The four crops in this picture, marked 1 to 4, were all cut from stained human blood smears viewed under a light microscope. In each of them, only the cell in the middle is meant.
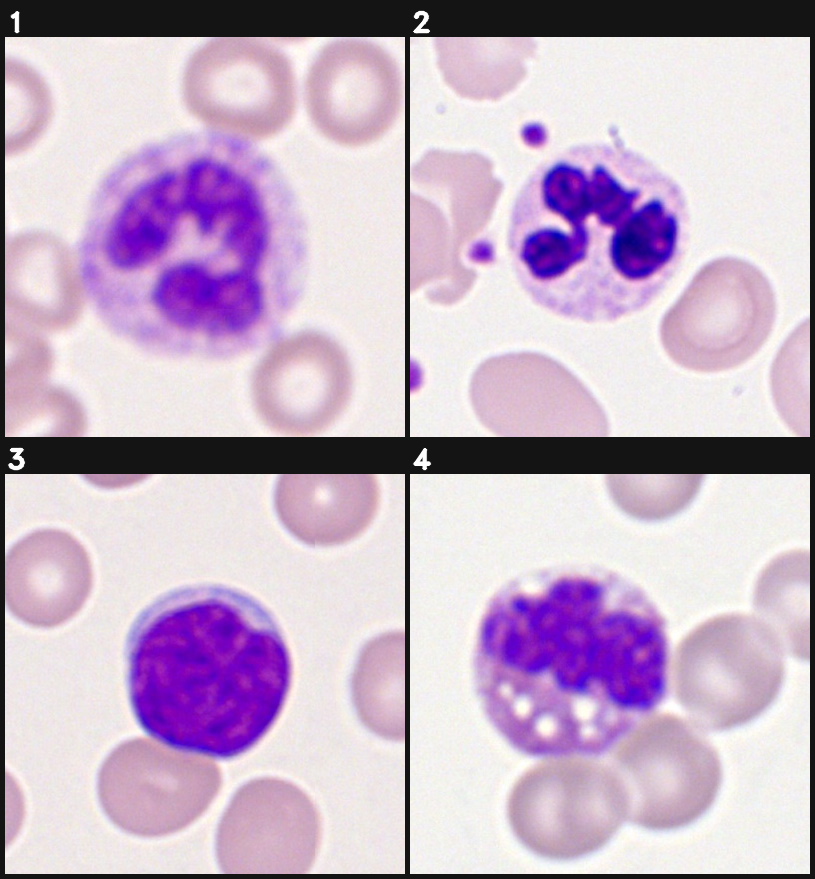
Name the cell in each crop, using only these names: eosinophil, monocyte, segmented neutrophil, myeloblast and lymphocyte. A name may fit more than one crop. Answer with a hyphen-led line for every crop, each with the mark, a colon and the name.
- 1: segmented neutrophil
- 2: segmented neutrophil
- 3: lymphocyte
- 4: eosinophil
